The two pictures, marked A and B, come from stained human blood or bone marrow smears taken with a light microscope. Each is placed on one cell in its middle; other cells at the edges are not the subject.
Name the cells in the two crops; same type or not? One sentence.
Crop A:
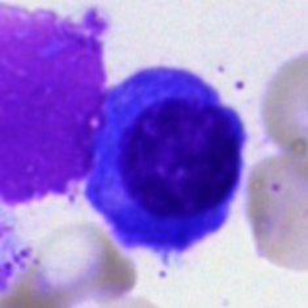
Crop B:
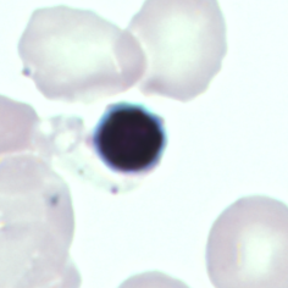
No, a plasma cell and a normoblast are found in crop A and crop B, respectively.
